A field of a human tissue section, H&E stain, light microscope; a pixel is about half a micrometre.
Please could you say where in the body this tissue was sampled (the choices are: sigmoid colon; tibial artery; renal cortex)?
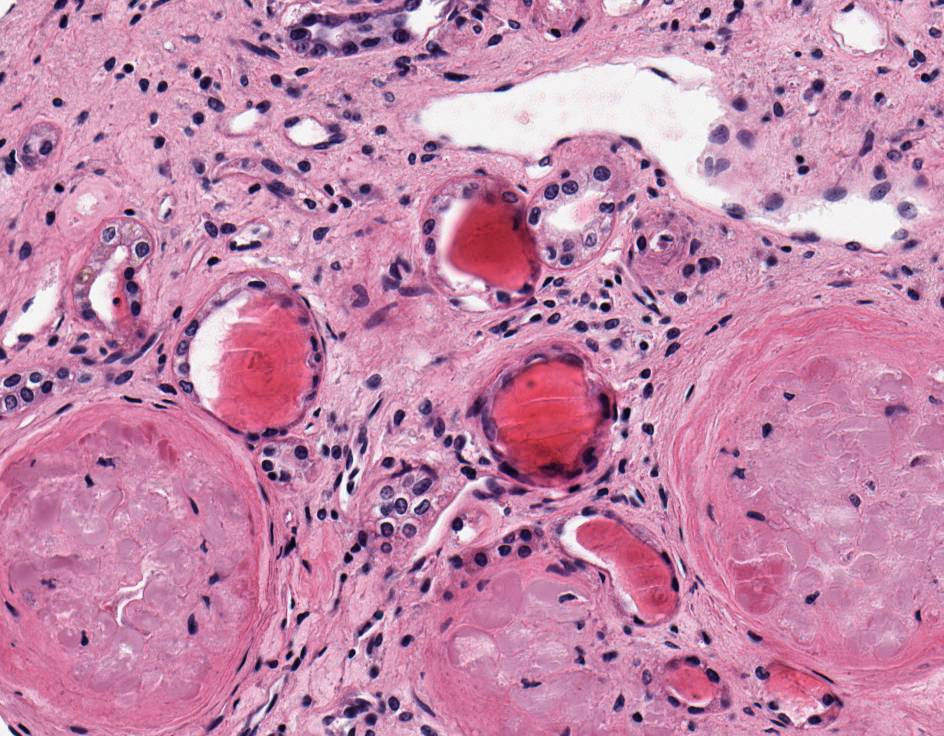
renal cortex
